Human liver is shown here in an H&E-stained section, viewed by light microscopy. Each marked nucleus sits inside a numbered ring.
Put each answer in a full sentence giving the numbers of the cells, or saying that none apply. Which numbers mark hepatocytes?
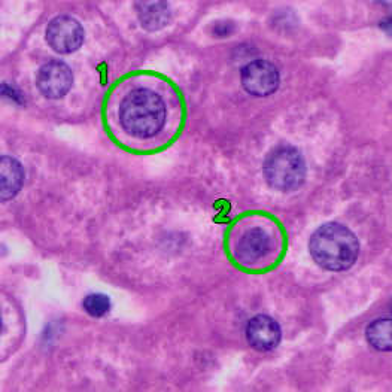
Of the numbered nuclei, only the one labelled 1 belongs to a hepatocyte.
